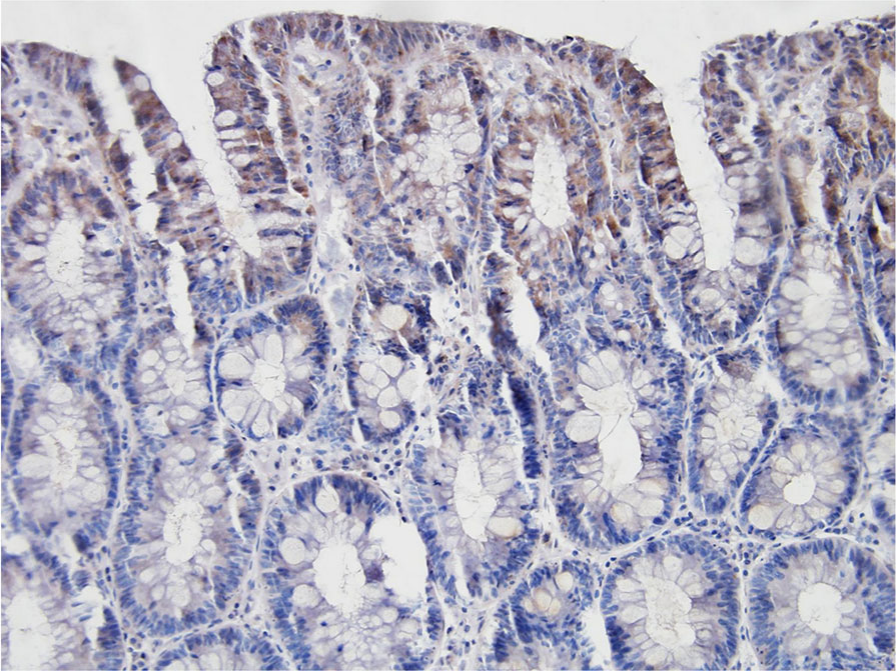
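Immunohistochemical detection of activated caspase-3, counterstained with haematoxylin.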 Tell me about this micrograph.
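Intestinal mucosa with crypts cut in cross-section in the lower part and opening toward the surface at the top, lined by columnar epithelium rich in pale, rounded goblet cells around a central lumen. The epithelial nuclei are blue, elongated and lie toward the base of the cells, and thin stroma with small nuclei separates the crypts. Brown stain fills the cytoplasm of the epithelium at the surface and at the mouths of the crypts, while the deeper crypts remain largely blue.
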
